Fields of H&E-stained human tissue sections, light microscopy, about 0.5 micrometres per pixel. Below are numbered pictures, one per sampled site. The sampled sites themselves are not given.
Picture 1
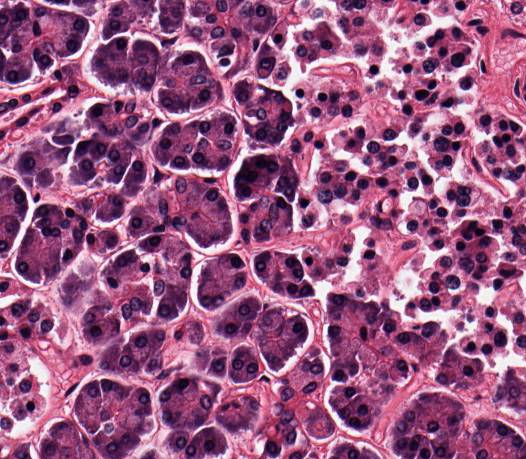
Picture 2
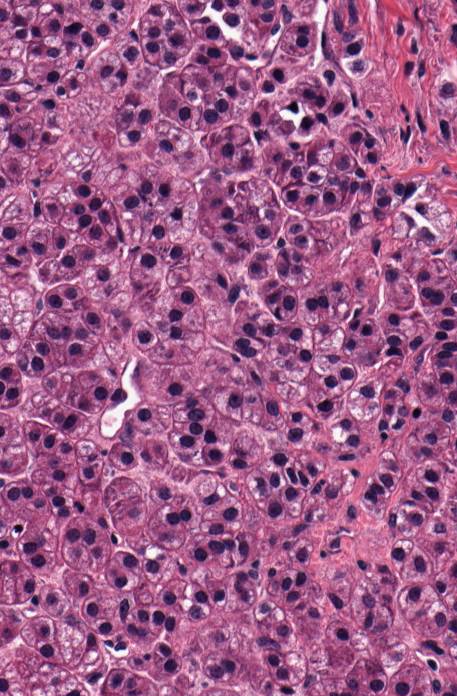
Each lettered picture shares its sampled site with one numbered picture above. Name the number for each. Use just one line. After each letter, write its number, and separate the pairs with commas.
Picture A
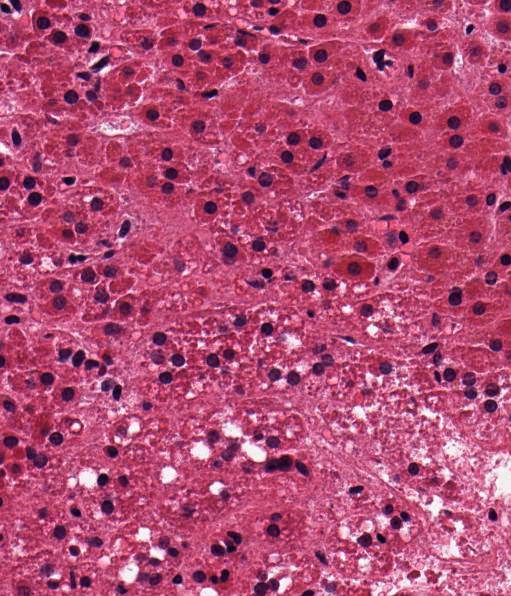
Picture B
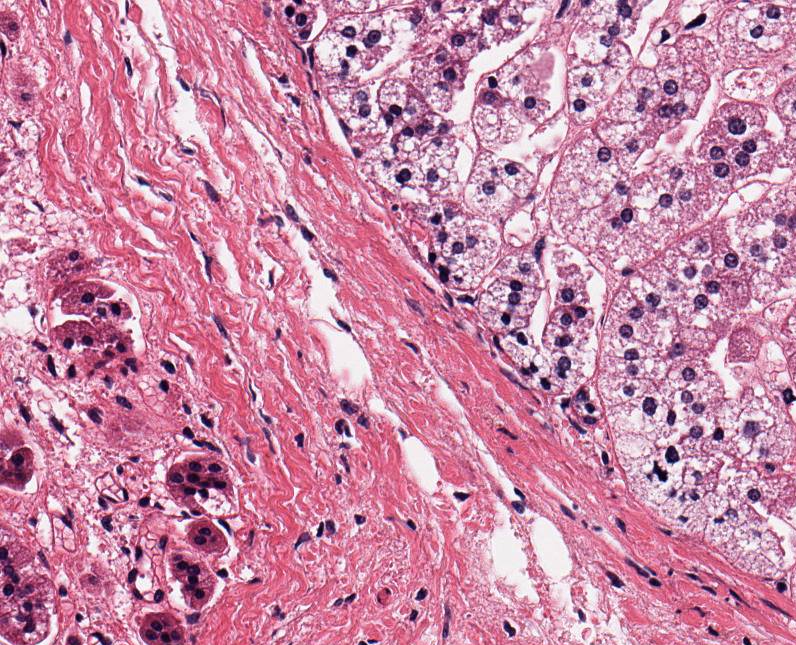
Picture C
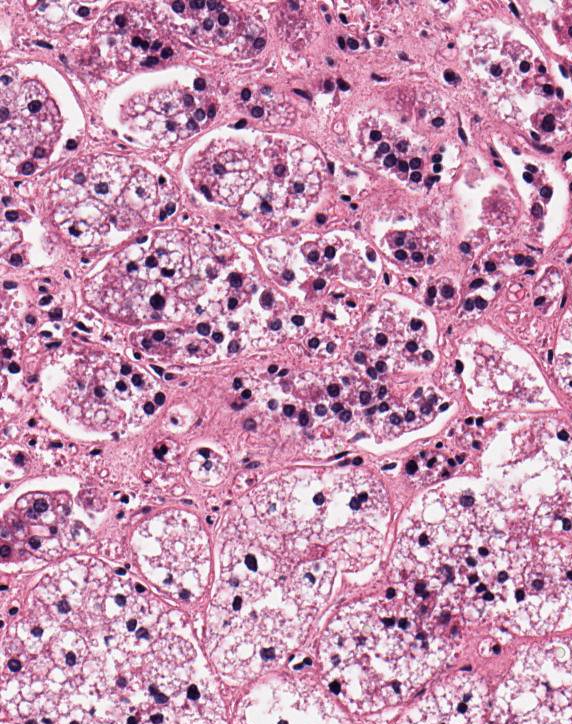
A 2, B 2, C 2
